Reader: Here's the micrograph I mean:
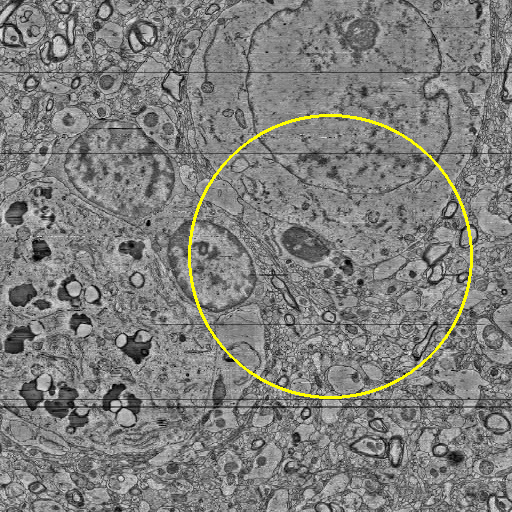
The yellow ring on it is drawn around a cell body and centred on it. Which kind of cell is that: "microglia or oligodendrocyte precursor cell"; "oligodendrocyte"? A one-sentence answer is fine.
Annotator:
The ring is centred on a microglial cell or oligodendrocyte precursor cell.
